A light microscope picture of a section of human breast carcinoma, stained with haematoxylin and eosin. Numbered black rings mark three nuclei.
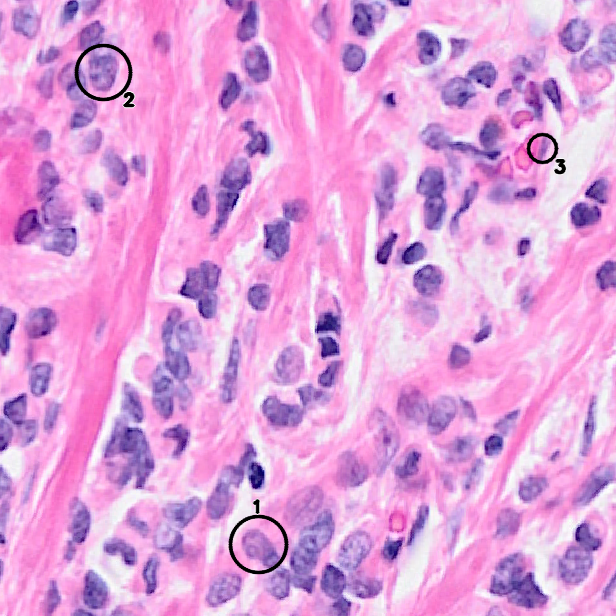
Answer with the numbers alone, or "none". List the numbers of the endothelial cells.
3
